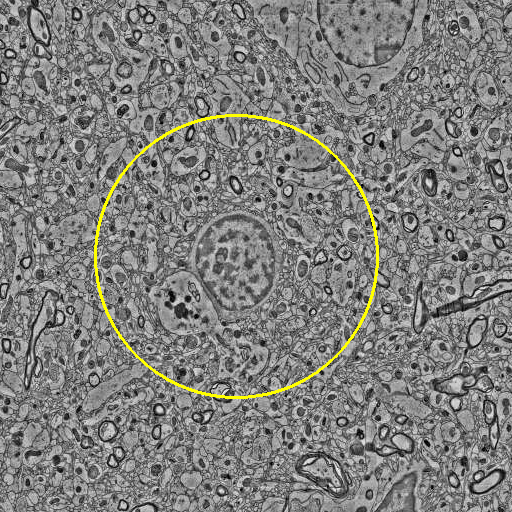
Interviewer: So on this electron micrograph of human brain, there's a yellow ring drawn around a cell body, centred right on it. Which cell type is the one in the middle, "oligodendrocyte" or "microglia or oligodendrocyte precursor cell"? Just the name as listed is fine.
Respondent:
oligodendrocyte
